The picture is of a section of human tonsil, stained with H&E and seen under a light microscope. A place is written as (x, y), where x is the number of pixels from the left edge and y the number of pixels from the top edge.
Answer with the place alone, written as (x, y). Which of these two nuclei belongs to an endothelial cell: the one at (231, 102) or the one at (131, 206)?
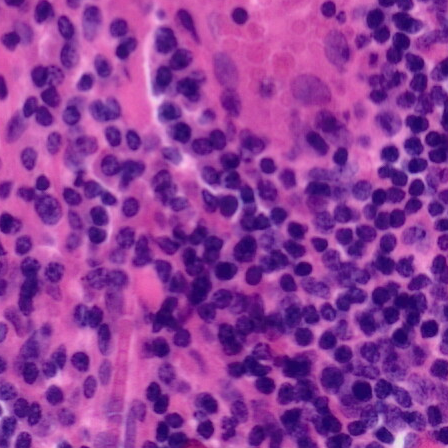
(231, 102)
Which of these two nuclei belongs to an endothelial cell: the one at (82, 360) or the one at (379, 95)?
(379, 95)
